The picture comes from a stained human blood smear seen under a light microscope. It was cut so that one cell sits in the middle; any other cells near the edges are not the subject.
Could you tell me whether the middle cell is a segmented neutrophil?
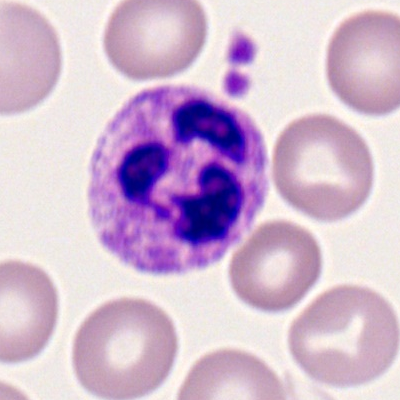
yes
